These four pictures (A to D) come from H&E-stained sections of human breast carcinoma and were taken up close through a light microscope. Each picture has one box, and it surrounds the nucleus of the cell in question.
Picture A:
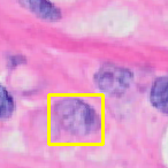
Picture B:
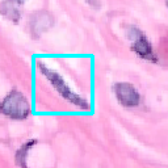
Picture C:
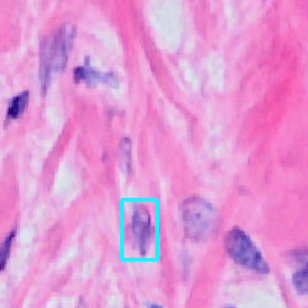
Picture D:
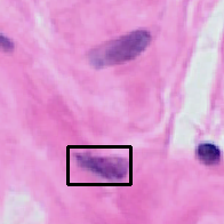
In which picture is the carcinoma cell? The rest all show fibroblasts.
A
